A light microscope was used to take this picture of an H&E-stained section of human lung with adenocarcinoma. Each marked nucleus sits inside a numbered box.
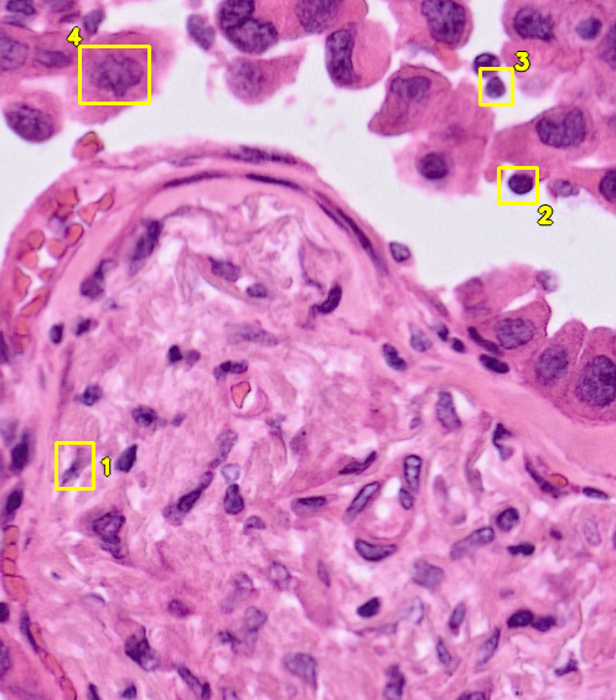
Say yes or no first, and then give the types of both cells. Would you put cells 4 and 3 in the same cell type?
No, cell 4 is a carcinoma cell and cell 3 is a lymphocyte.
